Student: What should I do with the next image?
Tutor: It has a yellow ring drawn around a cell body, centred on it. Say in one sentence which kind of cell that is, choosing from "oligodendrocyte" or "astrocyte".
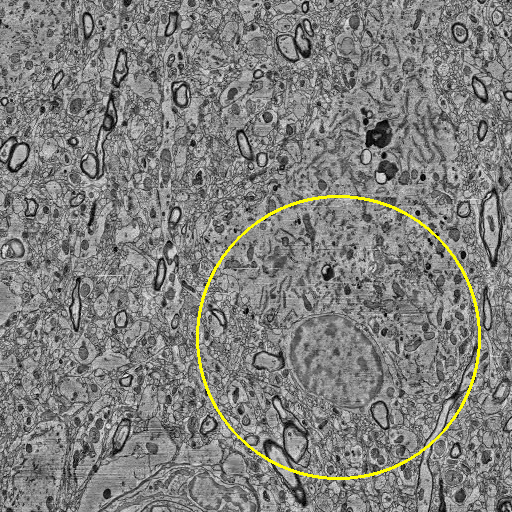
The ring's centre is occupied by an oligodendrocyte.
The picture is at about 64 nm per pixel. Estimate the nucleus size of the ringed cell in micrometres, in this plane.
The ringed cell's nucleus is about 7 micrometres long and 5 micrometres wide in this plane.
